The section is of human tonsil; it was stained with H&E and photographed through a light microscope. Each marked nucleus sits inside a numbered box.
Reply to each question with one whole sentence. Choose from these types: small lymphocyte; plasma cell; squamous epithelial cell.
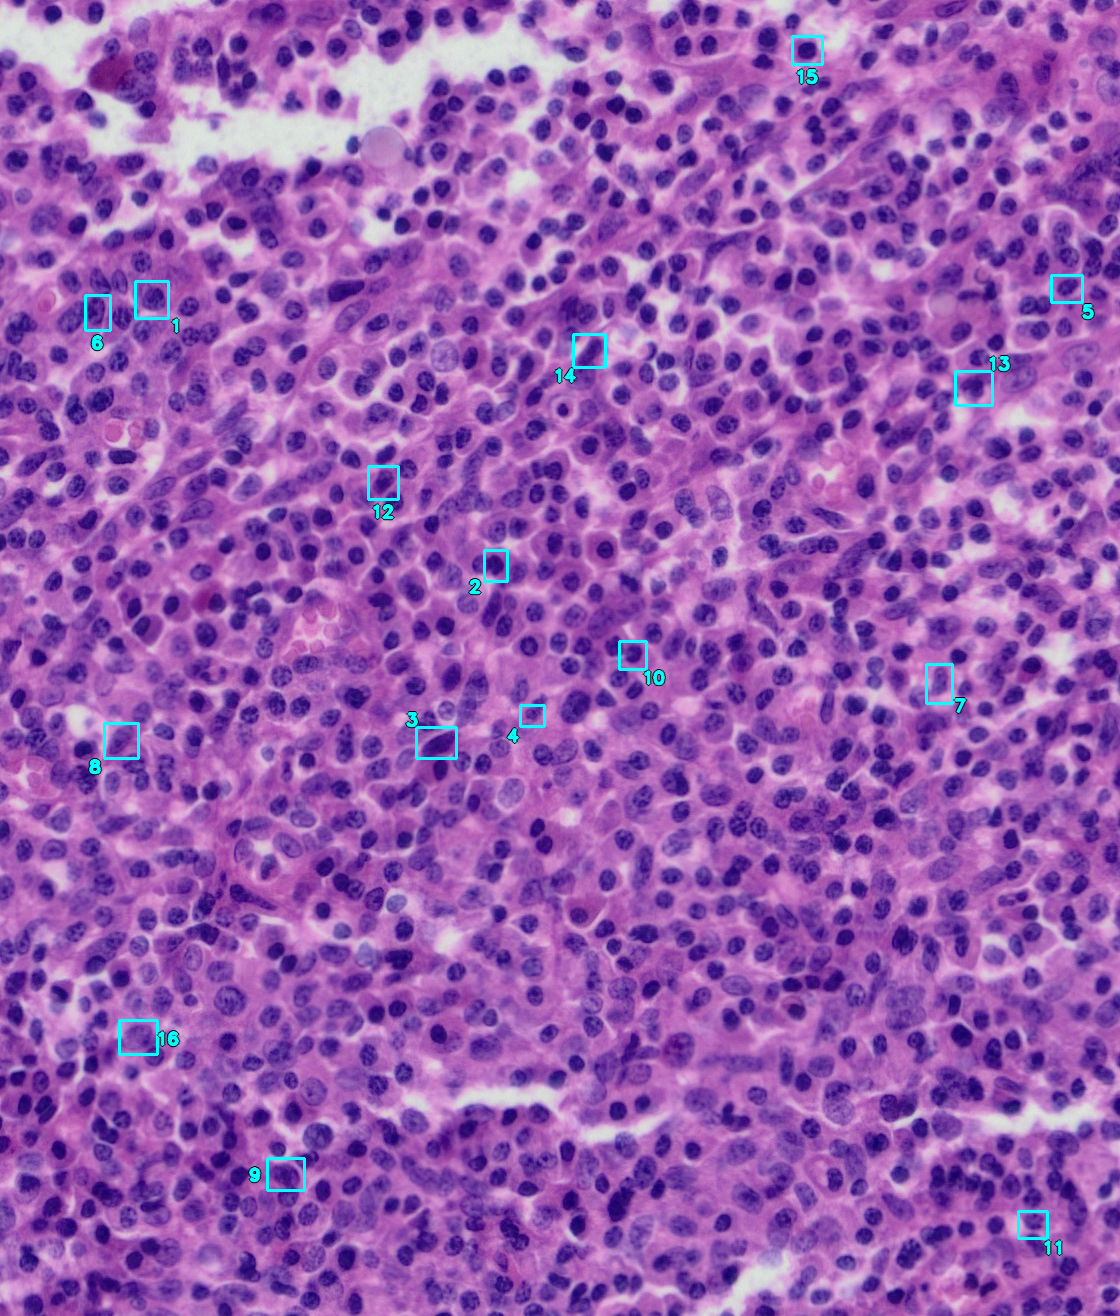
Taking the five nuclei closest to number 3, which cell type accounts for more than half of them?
The majority of the five nuclei closest to number 3 belong to plasma cells.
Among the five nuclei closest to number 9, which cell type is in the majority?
Plasma cells make up most of the five nuclei closest to number 9.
